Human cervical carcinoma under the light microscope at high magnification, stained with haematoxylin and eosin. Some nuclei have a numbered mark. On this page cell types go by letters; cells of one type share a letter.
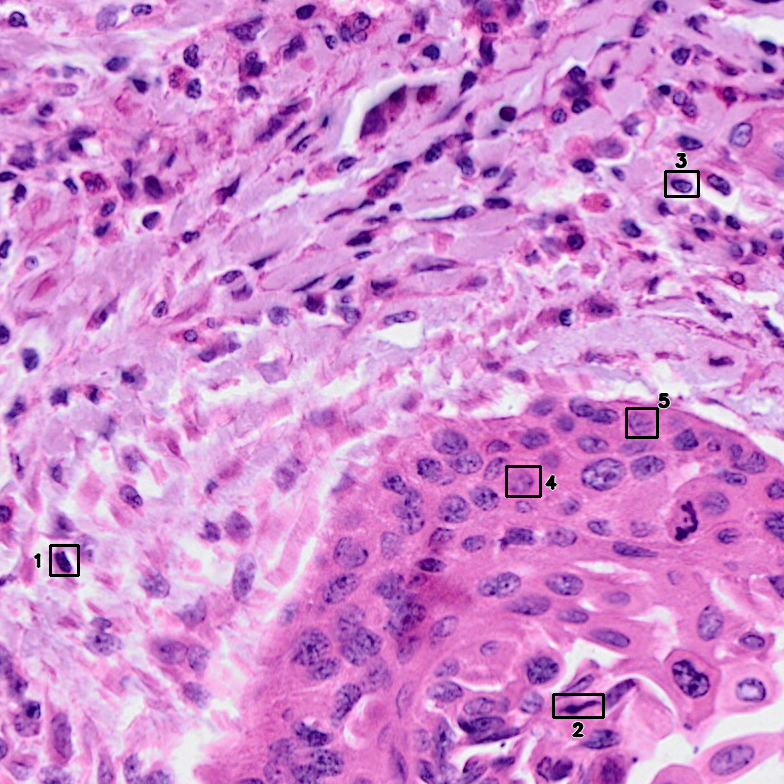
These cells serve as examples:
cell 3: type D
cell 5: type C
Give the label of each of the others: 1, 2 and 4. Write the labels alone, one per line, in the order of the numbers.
type D
type C
type C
